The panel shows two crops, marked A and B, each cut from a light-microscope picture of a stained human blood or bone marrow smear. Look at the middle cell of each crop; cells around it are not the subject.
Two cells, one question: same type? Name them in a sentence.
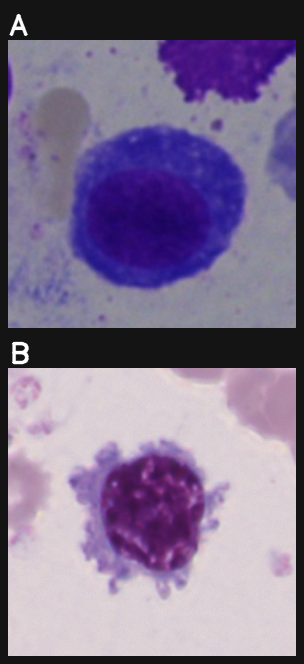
Yes, both crops show plasma cells, and nothing else needs adding.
